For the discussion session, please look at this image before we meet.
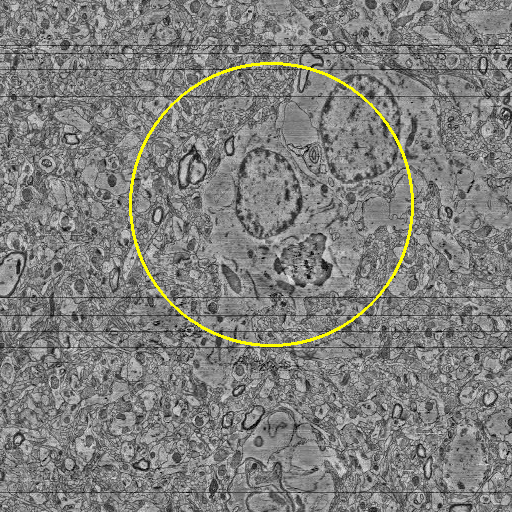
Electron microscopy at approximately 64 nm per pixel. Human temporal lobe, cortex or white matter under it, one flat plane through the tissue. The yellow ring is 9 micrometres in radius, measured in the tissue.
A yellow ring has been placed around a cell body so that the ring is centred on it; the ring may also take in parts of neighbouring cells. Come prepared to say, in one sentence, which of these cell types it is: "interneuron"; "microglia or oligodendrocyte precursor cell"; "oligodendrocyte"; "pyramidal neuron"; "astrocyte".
The cell centred in the ring is an astrocyte.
